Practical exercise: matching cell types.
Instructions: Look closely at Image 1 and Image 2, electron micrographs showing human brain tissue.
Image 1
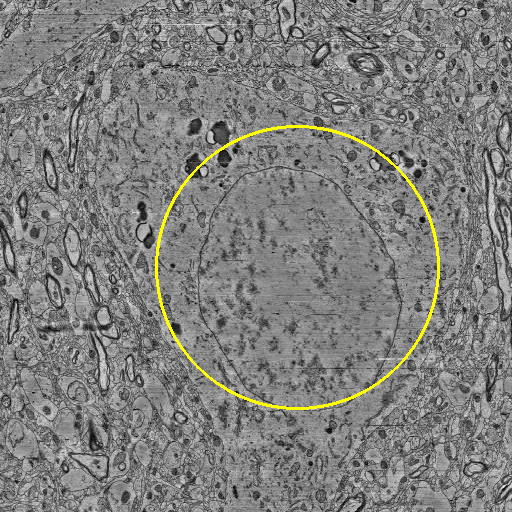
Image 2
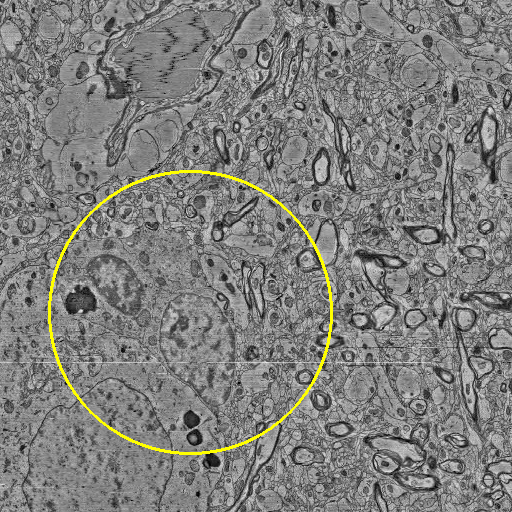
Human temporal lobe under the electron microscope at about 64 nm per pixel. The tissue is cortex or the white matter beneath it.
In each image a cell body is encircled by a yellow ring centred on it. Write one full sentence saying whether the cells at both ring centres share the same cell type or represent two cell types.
Across Image 1 and Image 2, the cells at the ring centres represent two cell types.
